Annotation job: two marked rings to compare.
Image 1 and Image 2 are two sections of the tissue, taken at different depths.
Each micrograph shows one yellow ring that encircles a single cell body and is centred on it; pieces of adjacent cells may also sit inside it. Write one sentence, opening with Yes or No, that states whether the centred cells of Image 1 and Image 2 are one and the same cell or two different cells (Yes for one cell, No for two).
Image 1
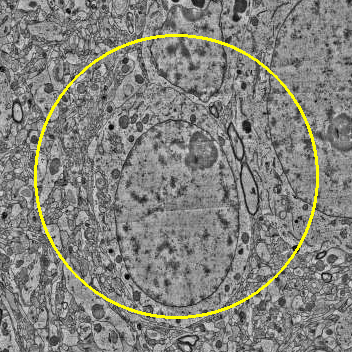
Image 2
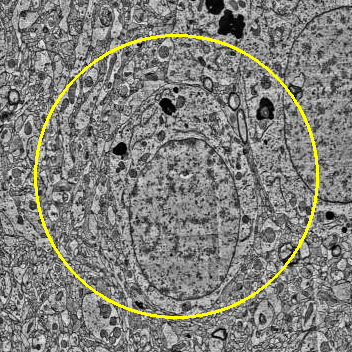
Yes, the first and second rings frame the same single cell.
